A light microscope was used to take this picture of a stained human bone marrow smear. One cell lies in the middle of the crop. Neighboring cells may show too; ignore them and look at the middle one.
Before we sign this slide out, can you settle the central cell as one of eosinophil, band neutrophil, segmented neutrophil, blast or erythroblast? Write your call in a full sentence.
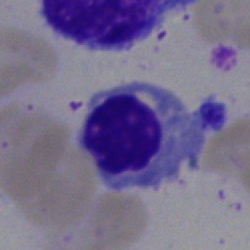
The central cell in this smear crop is an erythroblast.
